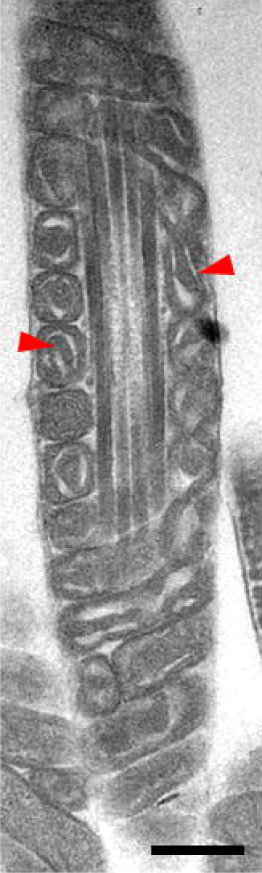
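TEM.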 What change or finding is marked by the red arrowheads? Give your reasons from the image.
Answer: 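Gaps separate outer and inner membranes of these organelles. So: dilated intermembrane spaces and dissolved mitochondrial material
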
